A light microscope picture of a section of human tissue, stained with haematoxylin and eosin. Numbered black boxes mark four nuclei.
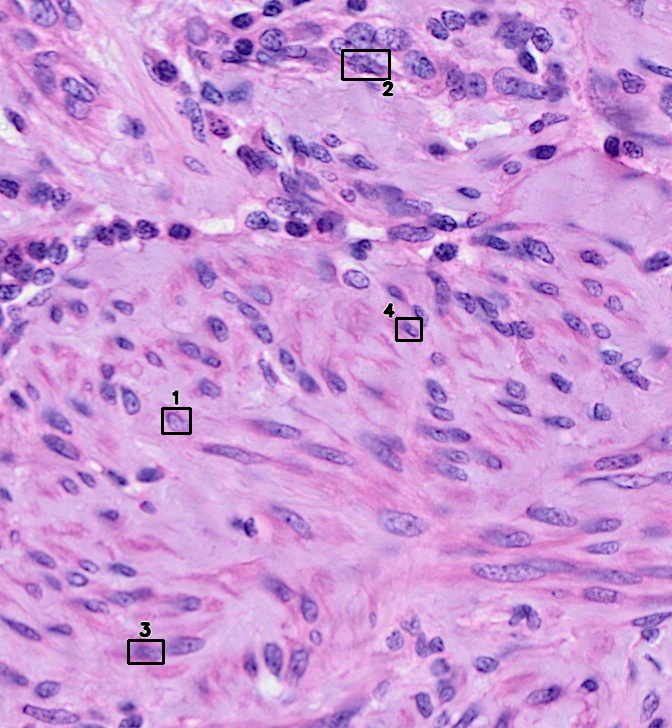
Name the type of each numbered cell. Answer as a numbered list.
1. smooth muscle cell
2. endothelial cell
3. smooth muscle cell
4. smooth muscle cell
